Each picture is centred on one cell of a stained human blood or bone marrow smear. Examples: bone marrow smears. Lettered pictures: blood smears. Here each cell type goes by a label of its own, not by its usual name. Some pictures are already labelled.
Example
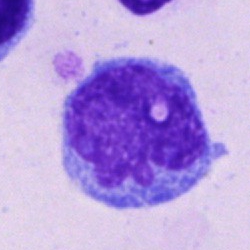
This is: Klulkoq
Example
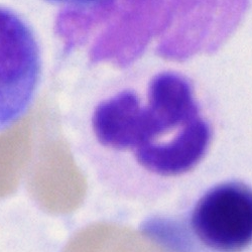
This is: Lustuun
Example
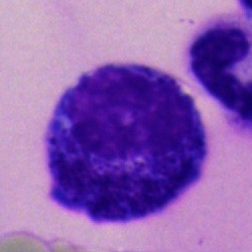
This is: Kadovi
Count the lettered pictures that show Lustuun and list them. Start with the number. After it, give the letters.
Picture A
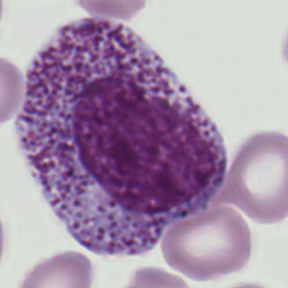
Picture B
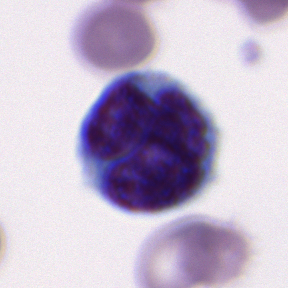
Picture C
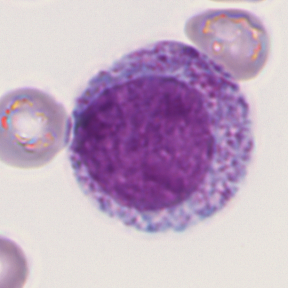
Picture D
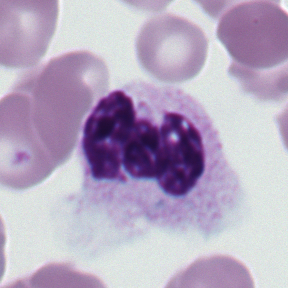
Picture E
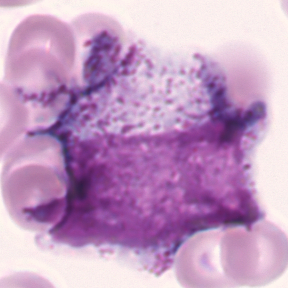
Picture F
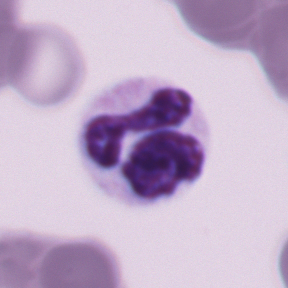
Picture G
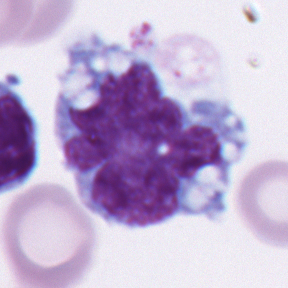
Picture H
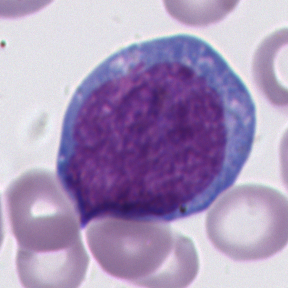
2, namely D, F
